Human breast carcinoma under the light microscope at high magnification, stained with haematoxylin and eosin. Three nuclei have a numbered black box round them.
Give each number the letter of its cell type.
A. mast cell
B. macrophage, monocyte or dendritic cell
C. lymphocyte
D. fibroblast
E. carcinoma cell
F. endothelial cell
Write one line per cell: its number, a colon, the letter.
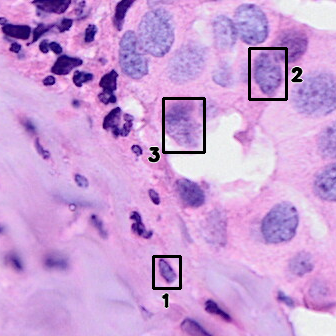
1: A
2: E
3: E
